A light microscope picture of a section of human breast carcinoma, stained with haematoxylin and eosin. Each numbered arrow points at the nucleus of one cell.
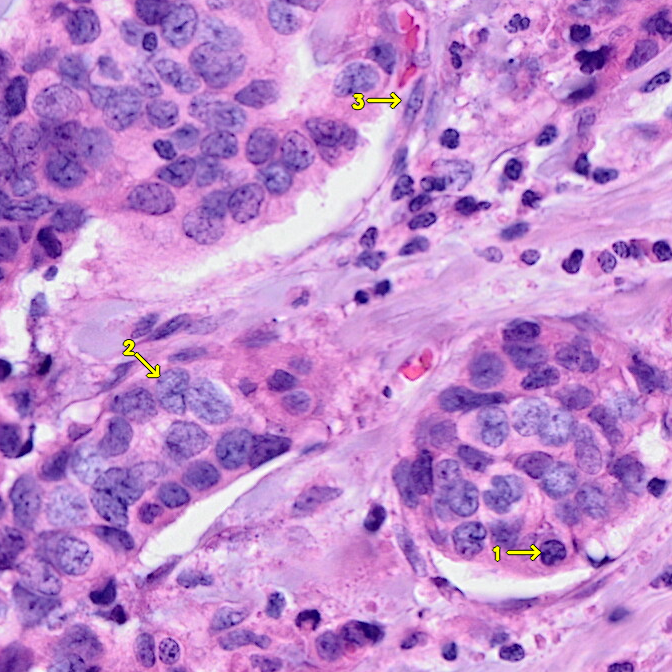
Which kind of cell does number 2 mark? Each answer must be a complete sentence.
In the marked set, the cell given number 2 is a carcinoma cell.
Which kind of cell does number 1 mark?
The cell with the number 1 is a carcinoma cell.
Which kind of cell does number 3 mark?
Cell 3 is classified as an endothelial cell.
